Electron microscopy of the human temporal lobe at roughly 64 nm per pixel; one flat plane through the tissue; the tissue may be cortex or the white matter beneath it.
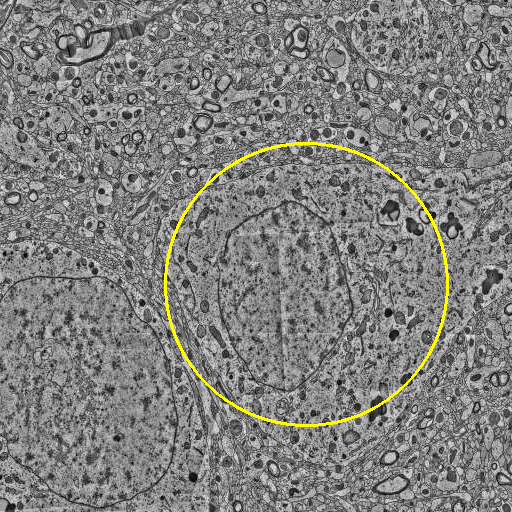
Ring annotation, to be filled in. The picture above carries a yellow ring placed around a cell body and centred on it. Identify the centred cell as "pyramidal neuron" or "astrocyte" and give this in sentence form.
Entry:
The cell in the middle of the ring is a pyramidal neuron.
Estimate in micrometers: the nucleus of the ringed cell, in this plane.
In this plane the nucleus measures roughly 12 by 9 micrometers.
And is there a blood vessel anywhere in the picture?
No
